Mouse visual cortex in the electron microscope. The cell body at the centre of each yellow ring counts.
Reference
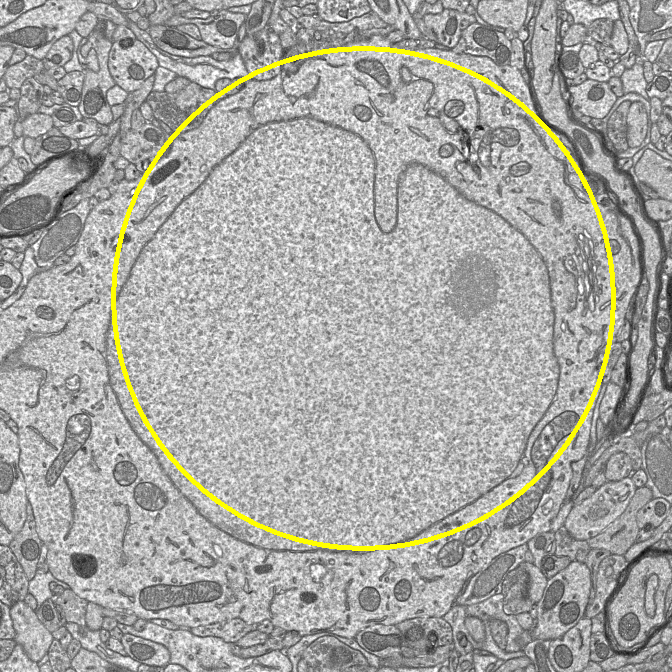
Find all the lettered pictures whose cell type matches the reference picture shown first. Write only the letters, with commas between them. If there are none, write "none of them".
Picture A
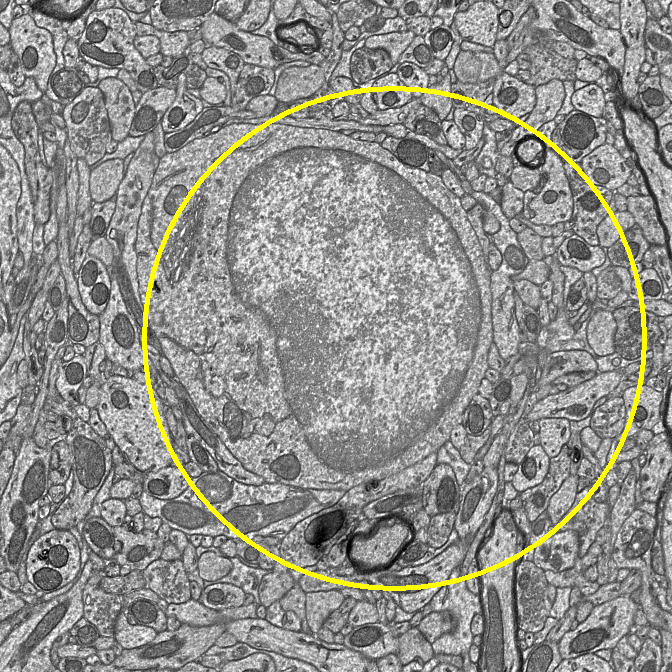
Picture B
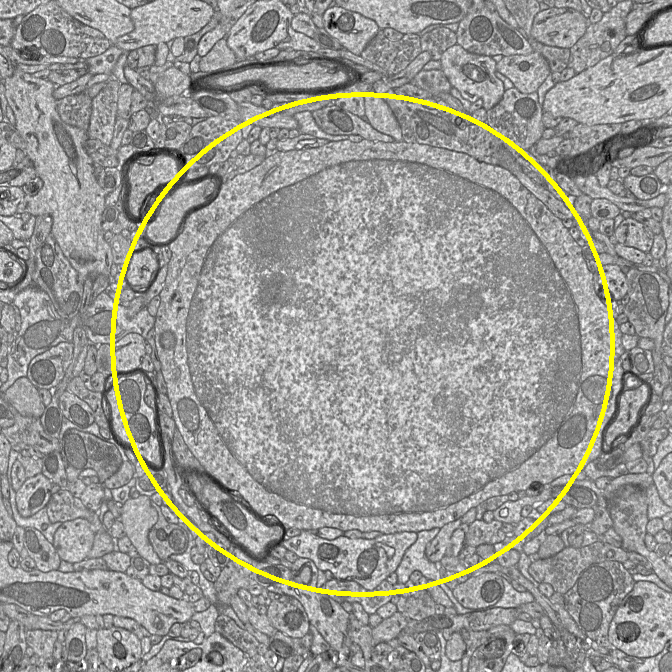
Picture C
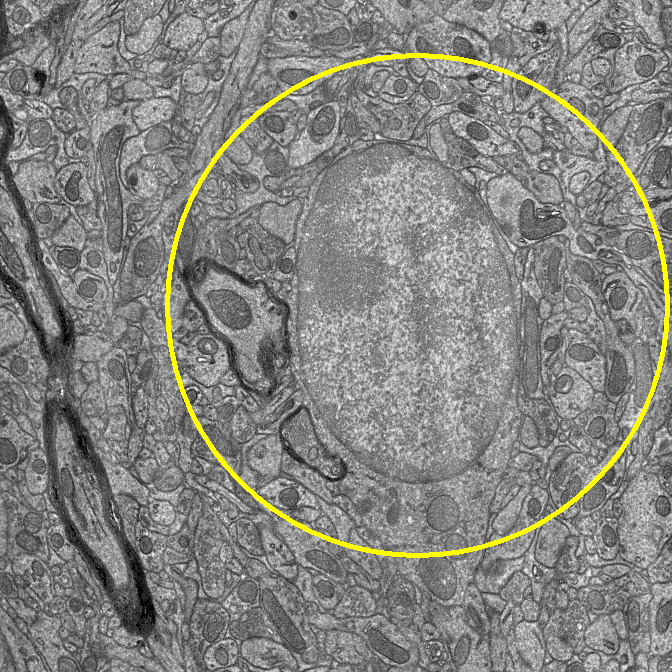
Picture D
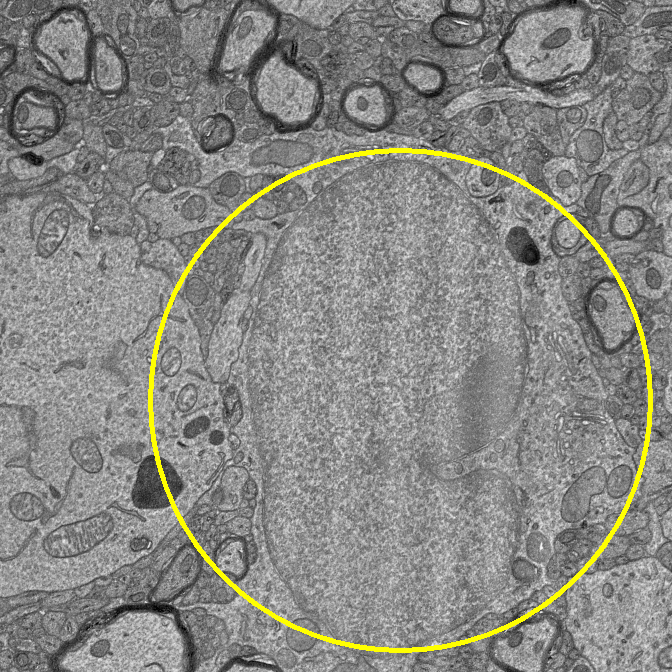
none of them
